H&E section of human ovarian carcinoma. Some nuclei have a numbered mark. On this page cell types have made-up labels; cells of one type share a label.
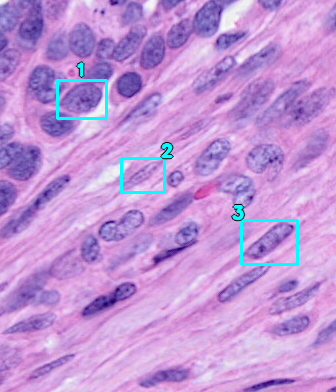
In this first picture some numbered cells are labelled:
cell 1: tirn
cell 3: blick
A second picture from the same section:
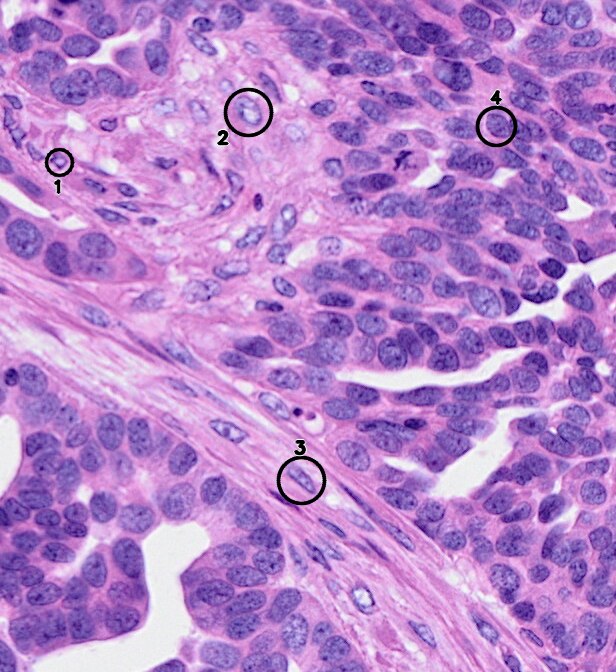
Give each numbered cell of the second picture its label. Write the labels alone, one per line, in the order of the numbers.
blick
blick
blick
tirn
